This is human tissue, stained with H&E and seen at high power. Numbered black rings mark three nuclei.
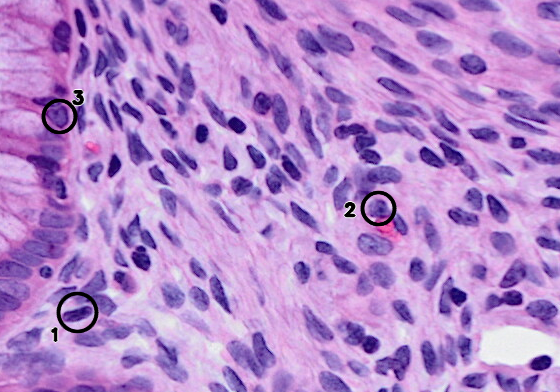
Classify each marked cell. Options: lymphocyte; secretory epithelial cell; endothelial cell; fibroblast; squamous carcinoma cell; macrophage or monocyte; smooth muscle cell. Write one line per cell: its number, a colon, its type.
1: lymphocyte
2: endothelial cell
3: secretory epithelial cell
